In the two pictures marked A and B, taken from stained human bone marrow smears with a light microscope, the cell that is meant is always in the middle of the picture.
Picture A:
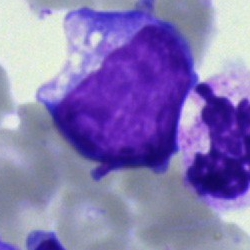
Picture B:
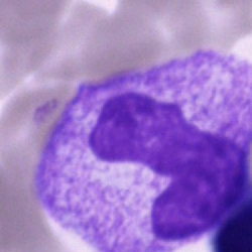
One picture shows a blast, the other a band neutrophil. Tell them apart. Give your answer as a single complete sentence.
It is picture A that shows a blast, and picture B that shows a band neutrophil.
